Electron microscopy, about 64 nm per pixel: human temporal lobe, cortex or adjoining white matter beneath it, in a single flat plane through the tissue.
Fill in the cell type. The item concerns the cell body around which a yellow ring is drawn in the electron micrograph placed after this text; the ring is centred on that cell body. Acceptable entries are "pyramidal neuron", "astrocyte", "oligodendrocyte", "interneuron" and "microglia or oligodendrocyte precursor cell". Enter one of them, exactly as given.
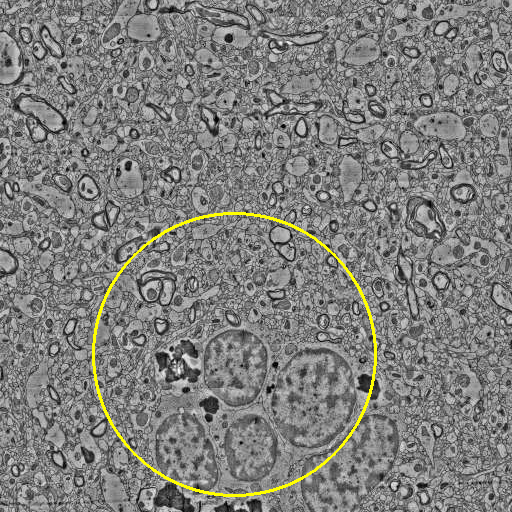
oligodendrocyte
